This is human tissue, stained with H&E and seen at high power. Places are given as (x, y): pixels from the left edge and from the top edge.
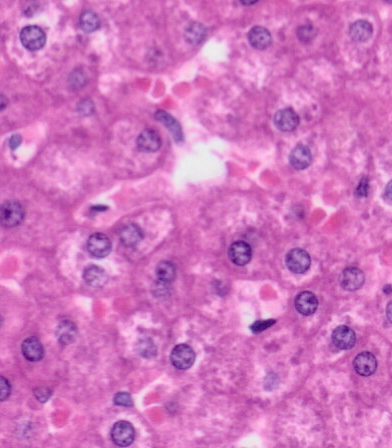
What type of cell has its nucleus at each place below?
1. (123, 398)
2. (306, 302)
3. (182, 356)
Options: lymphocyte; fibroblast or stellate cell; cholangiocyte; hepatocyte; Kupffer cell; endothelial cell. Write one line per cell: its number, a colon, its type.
1: fibroblast or stellate cell
2: hepatocyte
3: hepatocyte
